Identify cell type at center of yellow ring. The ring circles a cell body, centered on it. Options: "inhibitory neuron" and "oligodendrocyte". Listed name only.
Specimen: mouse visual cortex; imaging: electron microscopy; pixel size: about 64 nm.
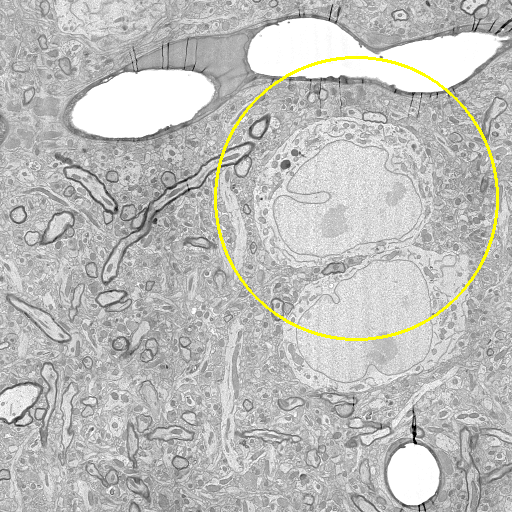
inhibitory neuron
